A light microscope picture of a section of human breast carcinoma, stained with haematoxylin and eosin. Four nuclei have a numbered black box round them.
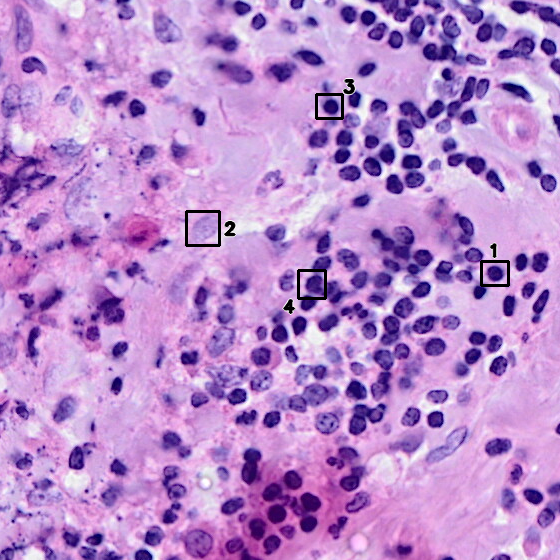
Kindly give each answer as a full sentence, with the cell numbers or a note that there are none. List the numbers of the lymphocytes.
Cells that were given the numbers 1, 3 and 4 are lymphocytes.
